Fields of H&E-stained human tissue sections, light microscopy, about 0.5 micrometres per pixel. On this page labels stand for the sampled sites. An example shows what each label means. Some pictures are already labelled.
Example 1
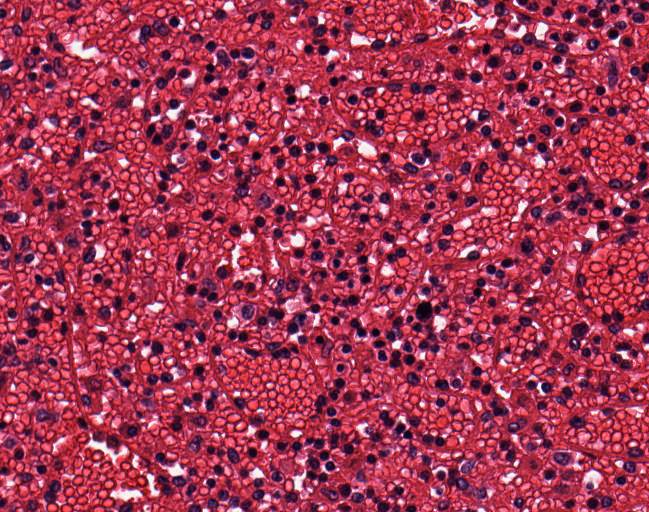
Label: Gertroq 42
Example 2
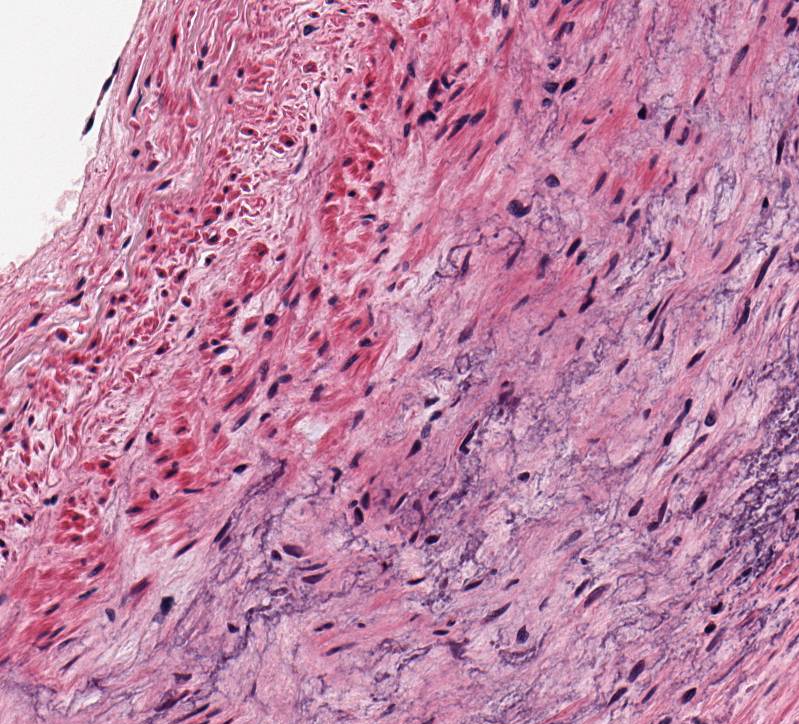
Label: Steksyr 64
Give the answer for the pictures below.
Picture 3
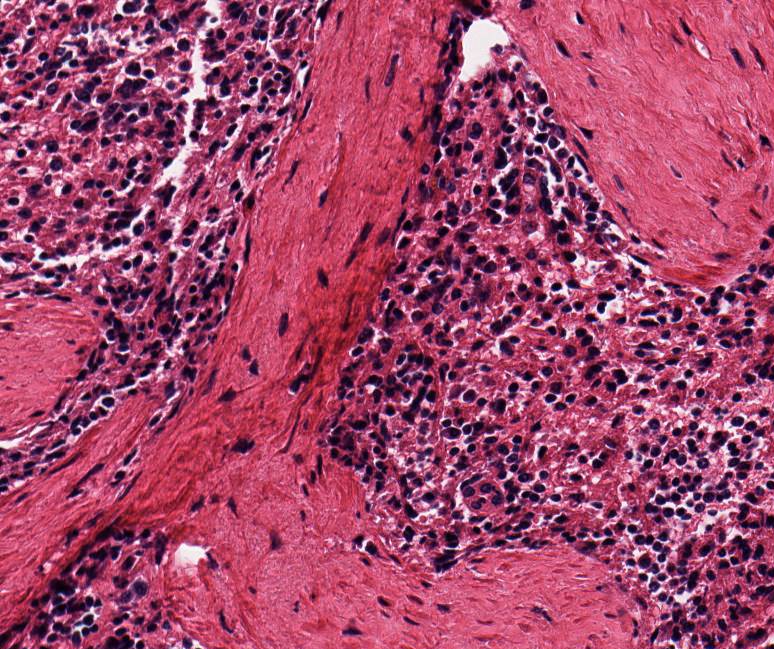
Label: Gertroq 42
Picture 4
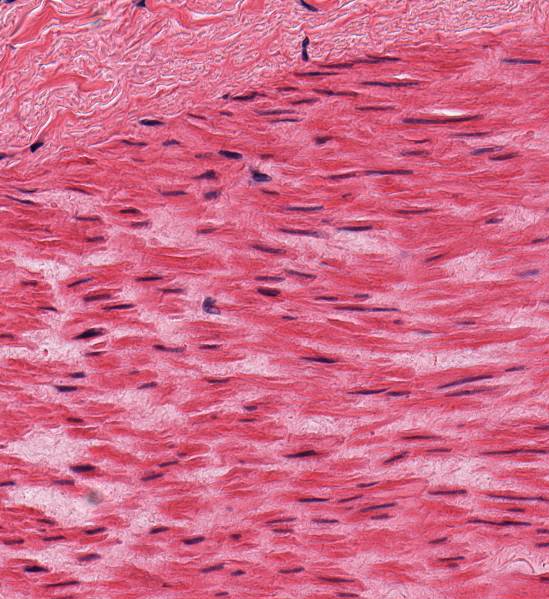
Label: Steksyr 64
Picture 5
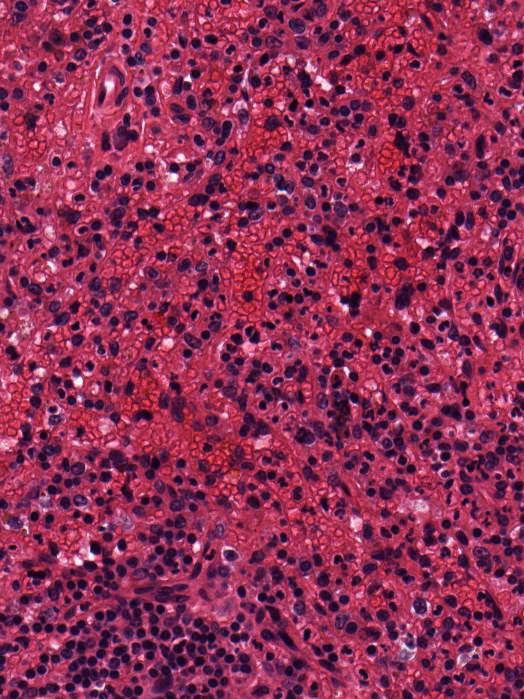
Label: Gertroq 42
